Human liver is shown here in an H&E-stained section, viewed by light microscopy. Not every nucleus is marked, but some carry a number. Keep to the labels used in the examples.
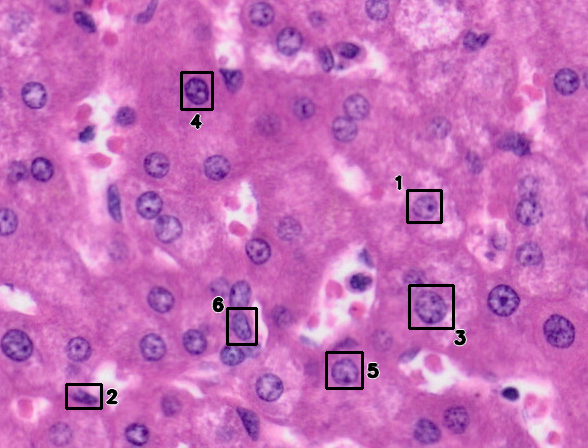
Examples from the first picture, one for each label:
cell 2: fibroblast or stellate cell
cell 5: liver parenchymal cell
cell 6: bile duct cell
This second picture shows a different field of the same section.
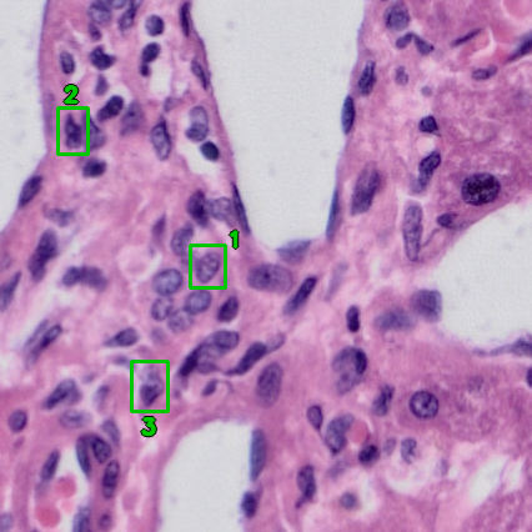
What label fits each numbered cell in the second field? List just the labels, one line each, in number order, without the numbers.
bile duct cell
fibroblast or stellate cell
fibroblast or stellate cell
